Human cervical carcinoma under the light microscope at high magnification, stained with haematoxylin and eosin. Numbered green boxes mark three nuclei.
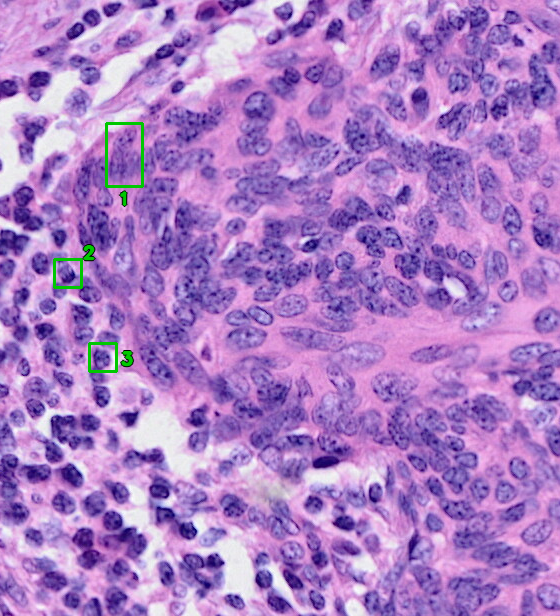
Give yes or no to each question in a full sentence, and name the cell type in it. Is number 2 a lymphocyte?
Yes, in the section, number 2 is a lymphocyte.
